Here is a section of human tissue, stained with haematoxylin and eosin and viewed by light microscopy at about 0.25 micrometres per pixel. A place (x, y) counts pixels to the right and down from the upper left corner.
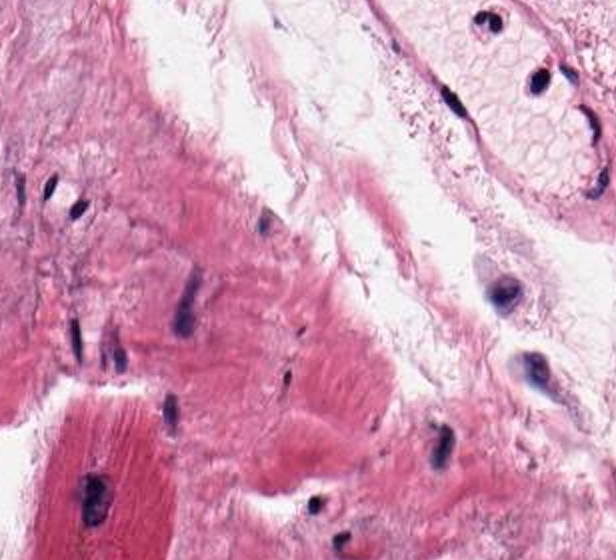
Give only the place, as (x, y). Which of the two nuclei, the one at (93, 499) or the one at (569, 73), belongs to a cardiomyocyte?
(93, 499)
